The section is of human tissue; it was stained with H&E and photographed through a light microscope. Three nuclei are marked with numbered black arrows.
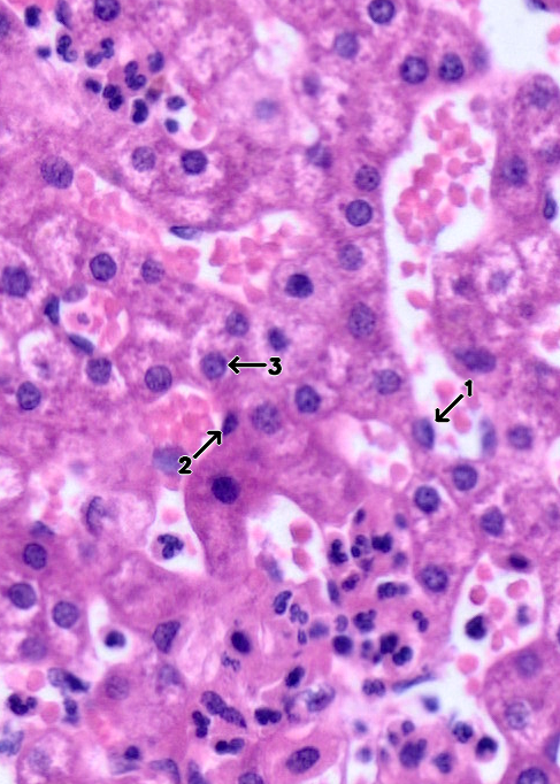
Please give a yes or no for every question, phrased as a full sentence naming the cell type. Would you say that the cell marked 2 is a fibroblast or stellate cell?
Yes, it is a fibroblast or stellate cell that number 2 identifies.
